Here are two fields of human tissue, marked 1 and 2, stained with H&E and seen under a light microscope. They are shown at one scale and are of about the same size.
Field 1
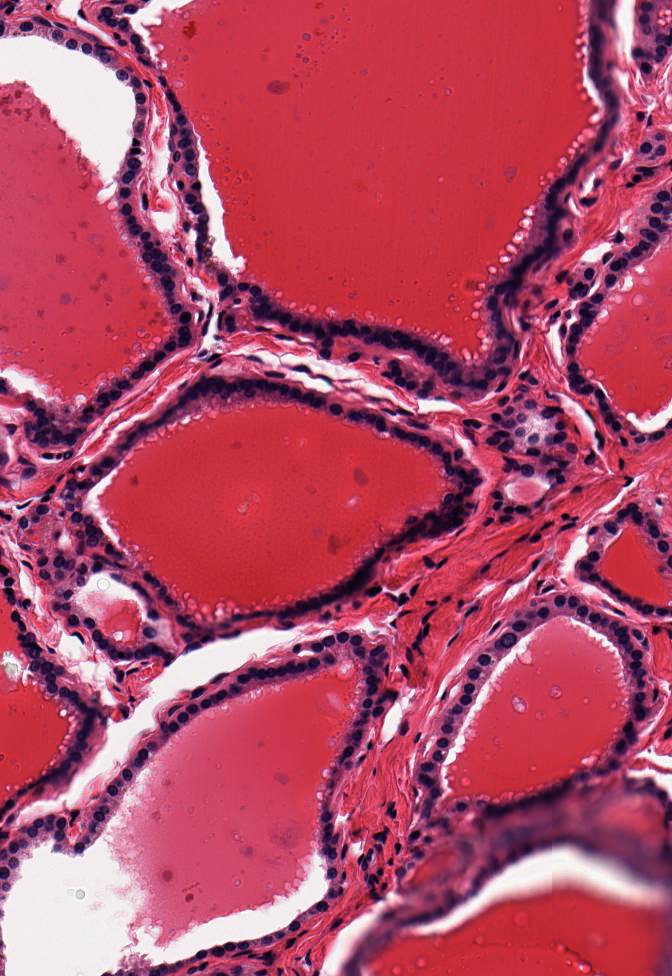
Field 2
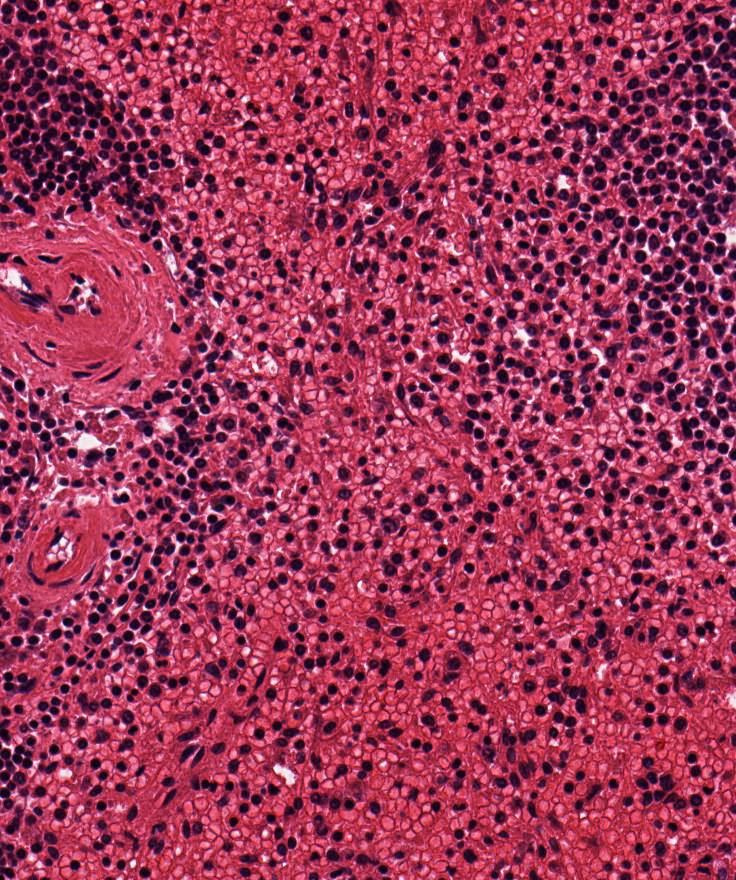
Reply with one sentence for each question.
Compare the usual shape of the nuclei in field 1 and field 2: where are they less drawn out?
It is field 2 whose nuclei are the rounder.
